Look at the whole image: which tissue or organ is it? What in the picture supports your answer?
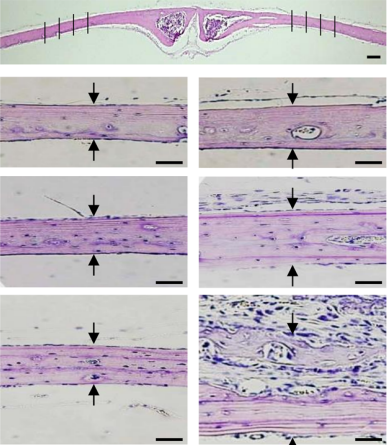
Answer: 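The low-power strip shows a thin, flat, curved plate of bone with a midline joint between two halves. The close-ups show a thin pink bony plate with cells in lacunae, covered by thin soft tissue layers.
Hence: calvaria.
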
